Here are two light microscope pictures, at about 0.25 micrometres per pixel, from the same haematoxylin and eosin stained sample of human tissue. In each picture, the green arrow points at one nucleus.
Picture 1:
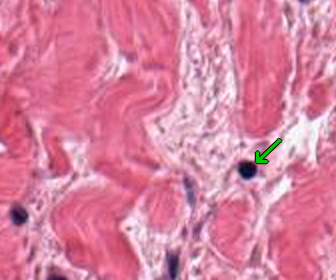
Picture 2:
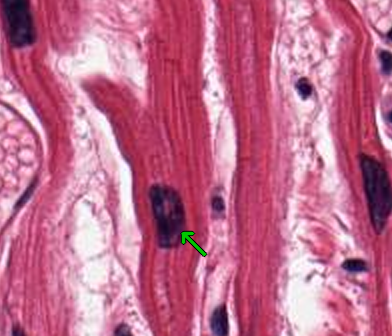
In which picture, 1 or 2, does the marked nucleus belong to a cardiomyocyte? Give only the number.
2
